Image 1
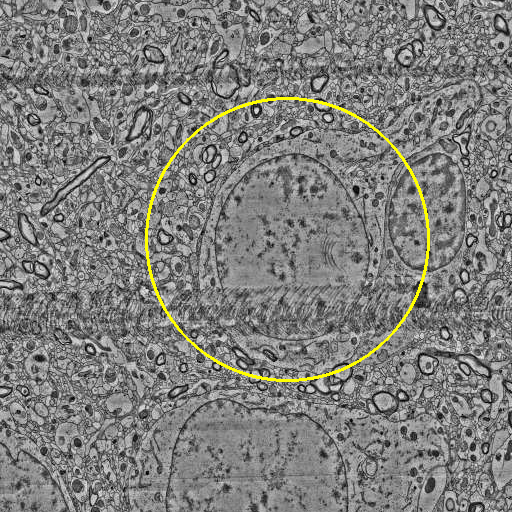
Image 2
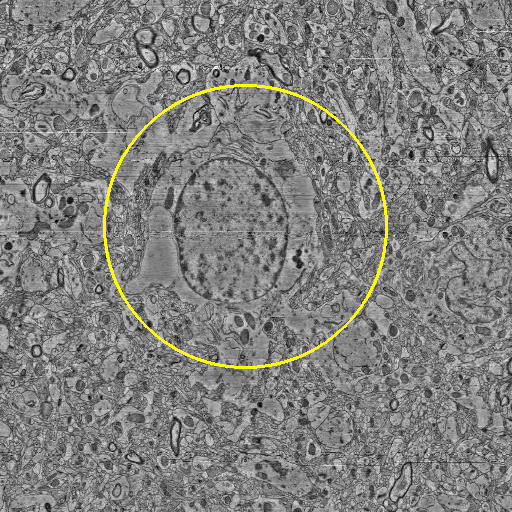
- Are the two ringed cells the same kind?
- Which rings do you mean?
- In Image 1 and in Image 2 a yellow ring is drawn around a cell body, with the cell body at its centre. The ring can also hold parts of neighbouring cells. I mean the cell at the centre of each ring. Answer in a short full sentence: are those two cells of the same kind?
No, the cells are of two kinds.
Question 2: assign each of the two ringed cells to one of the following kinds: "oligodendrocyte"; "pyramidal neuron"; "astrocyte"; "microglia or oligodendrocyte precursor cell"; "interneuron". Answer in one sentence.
The two cells are a pyramidal neuron in the first picture and an astrocyte in the second.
